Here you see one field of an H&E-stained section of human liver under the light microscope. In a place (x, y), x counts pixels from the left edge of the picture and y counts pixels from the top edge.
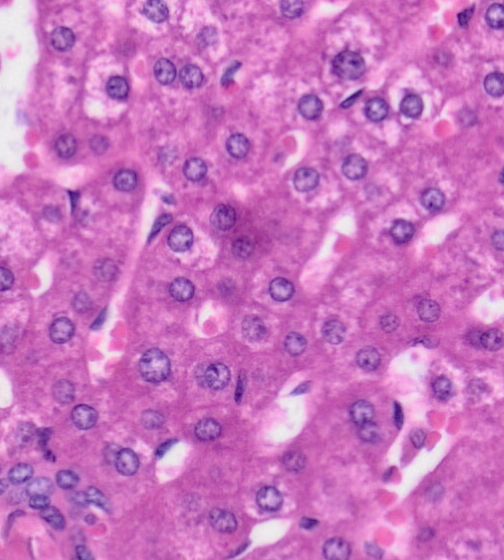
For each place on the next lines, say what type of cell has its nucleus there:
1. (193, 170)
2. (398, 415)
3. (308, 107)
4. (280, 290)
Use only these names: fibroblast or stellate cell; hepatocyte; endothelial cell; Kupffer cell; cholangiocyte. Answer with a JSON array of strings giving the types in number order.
["hepatocyte", "fibroblast or stellate cell", "hepatocyte", "hepatocyte"]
